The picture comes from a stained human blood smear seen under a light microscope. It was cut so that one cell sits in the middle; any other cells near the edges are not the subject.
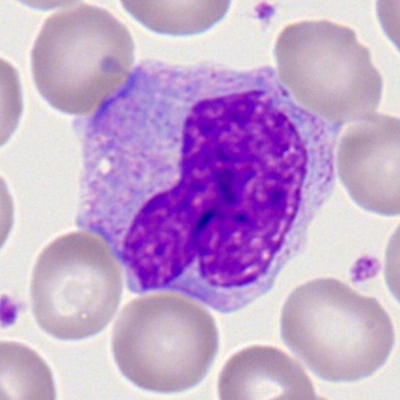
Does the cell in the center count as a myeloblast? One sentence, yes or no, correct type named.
No, the central cell is not a myeloblast; it is a monocyte instead.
